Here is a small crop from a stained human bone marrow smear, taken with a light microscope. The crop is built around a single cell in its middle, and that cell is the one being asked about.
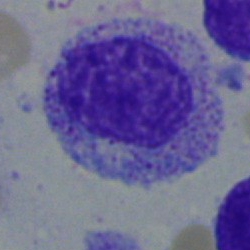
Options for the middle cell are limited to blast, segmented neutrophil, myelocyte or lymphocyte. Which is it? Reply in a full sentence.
Positioned in the middle of the crop is a myelocyte.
